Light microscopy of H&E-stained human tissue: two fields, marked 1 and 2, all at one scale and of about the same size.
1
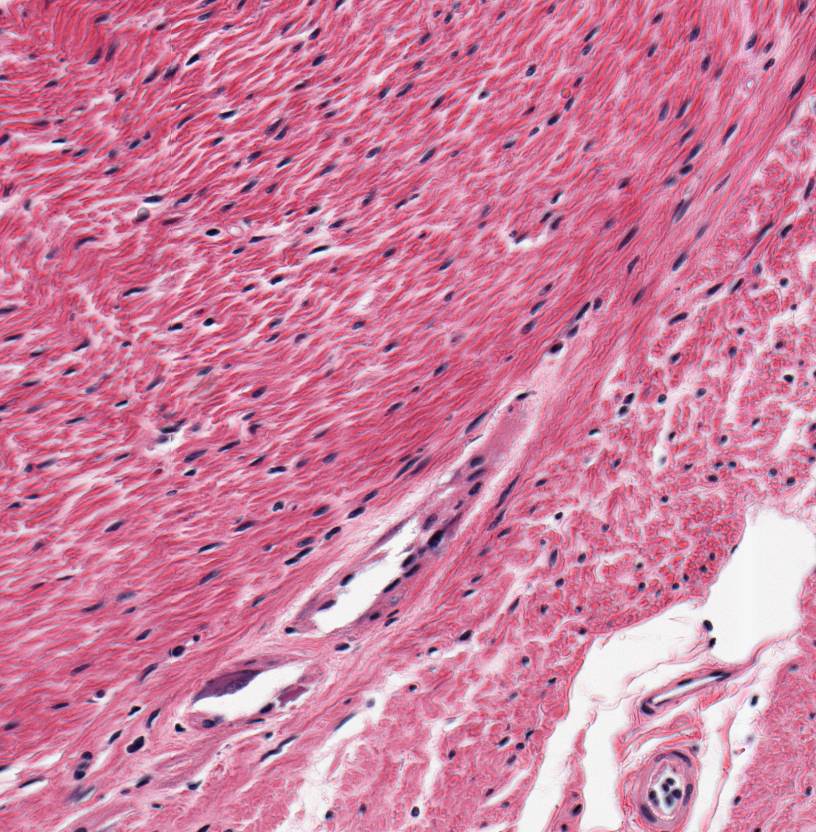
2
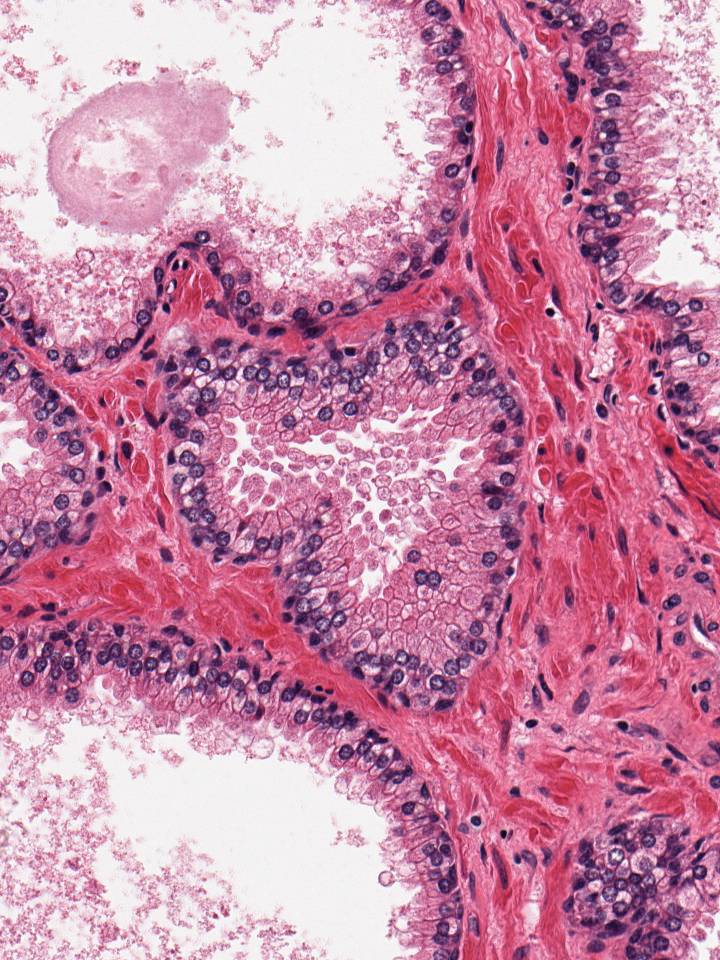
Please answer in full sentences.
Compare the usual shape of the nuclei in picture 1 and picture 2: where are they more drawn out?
On the whole the nuclei of picture 1 are more drawn out than those of picture 2.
